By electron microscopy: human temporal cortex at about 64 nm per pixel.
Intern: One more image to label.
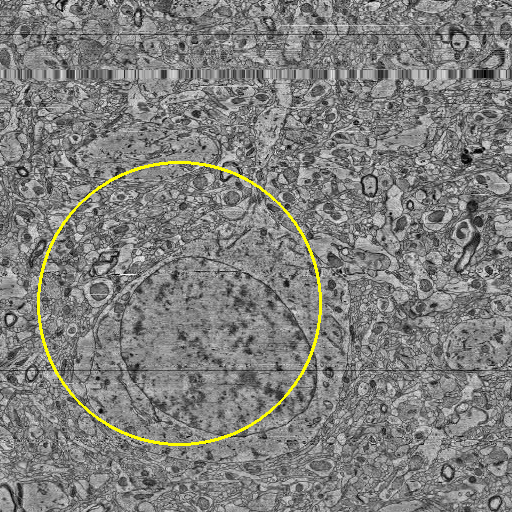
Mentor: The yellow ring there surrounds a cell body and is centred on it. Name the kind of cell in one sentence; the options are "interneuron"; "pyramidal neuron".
The ring marks the cell body of a pyramidal neuron.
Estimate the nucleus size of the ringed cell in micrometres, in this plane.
The nucleus of the ringed cell is approximately 14 by 11 micrometres in this plane.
